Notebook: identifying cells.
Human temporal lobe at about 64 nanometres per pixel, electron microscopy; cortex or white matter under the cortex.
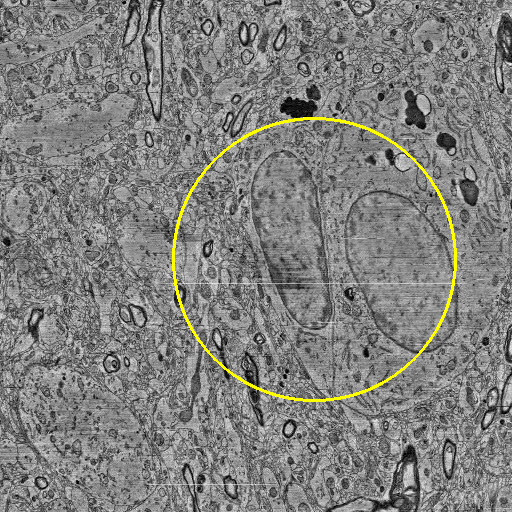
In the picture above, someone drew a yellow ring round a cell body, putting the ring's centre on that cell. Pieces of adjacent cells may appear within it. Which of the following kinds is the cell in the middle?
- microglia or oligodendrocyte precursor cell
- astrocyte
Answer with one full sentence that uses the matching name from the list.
In this picture, the yellow ring is centred on the body of a microglial cell or oligodendrocyte precursor cell.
